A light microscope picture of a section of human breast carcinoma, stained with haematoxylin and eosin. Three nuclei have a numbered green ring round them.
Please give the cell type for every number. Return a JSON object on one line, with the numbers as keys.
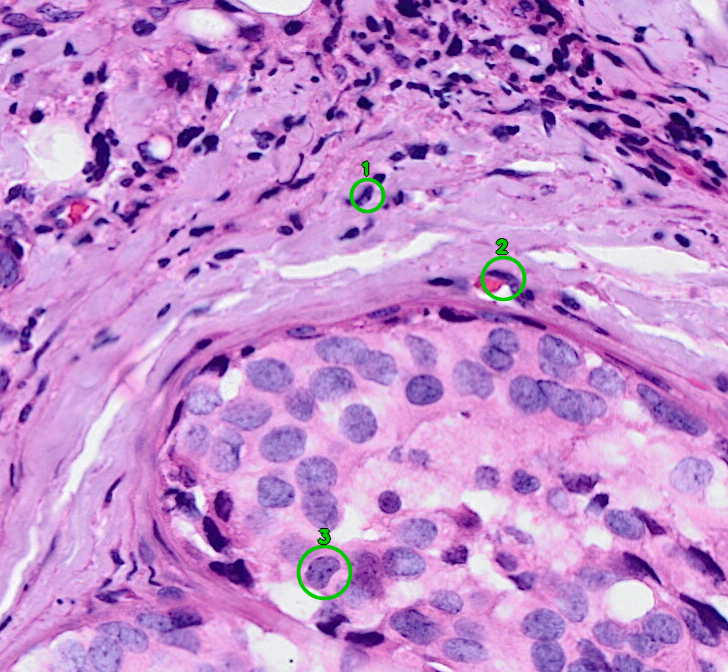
{"1": "lymphocyte", "2": "endothelial cell", "3": "carcinoma cell"}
